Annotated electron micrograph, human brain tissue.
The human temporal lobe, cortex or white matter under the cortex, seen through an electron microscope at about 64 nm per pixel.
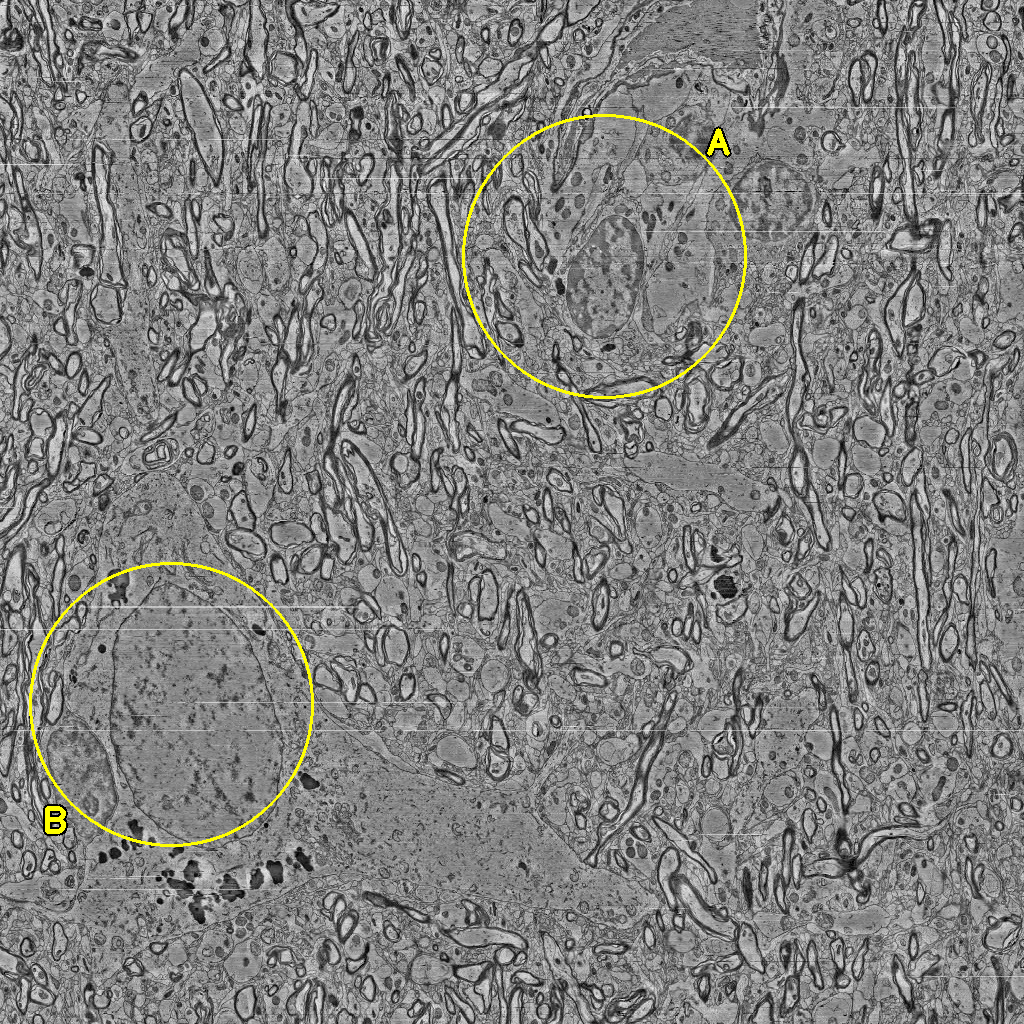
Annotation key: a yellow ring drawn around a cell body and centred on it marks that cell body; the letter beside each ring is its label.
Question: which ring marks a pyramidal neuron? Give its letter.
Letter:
B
